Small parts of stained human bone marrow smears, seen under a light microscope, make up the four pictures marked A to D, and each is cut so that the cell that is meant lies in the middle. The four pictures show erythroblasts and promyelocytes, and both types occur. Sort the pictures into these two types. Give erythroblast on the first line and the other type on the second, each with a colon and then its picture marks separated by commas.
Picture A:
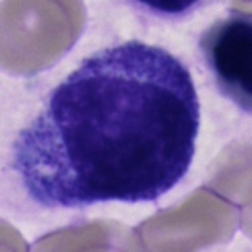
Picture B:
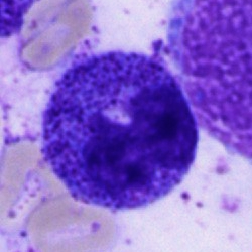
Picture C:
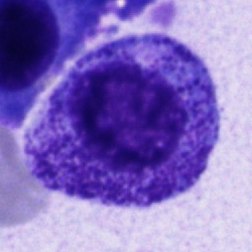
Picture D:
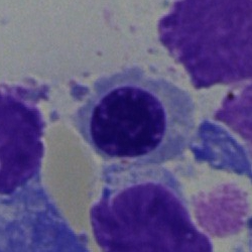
erythroblast: D
promyelocyte: A, B, C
